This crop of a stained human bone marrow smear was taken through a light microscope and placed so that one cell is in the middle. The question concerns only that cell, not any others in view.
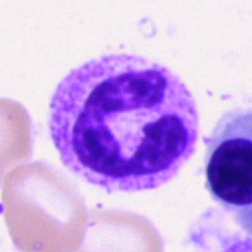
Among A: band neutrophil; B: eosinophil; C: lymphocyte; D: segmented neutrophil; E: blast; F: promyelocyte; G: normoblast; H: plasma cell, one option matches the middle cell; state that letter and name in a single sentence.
In the centre of the crop there is a segmented neutrophil, making option D correct.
